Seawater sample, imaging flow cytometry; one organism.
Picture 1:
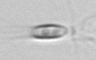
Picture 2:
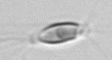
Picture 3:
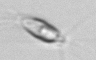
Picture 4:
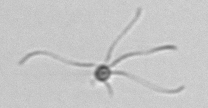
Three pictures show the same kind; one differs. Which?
Picture 4: Ophiaster, while the others are Chrysochromulina parkeae.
